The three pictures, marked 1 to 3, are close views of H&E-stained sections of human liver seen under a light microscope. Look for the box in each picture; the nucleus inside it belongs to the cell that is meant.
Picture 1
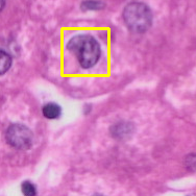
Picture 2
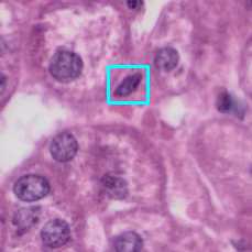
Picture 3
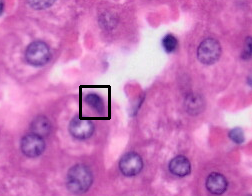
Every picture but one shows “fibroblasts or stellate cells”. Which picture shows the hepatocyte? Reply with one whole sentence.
It is picture 1 that shows the hepatocyte.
